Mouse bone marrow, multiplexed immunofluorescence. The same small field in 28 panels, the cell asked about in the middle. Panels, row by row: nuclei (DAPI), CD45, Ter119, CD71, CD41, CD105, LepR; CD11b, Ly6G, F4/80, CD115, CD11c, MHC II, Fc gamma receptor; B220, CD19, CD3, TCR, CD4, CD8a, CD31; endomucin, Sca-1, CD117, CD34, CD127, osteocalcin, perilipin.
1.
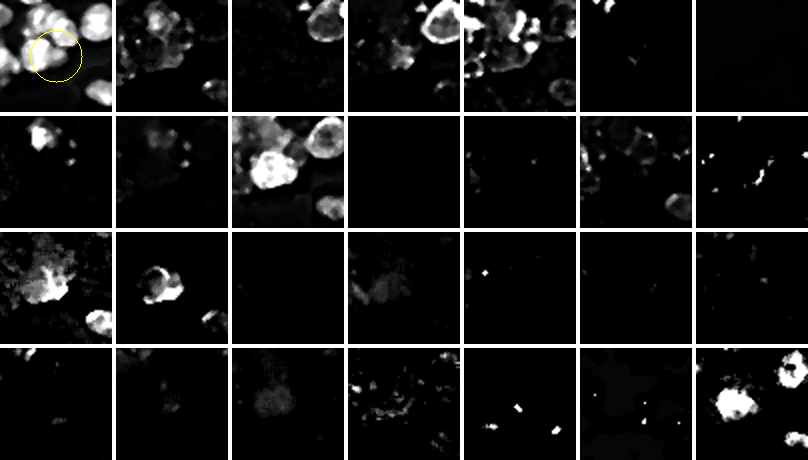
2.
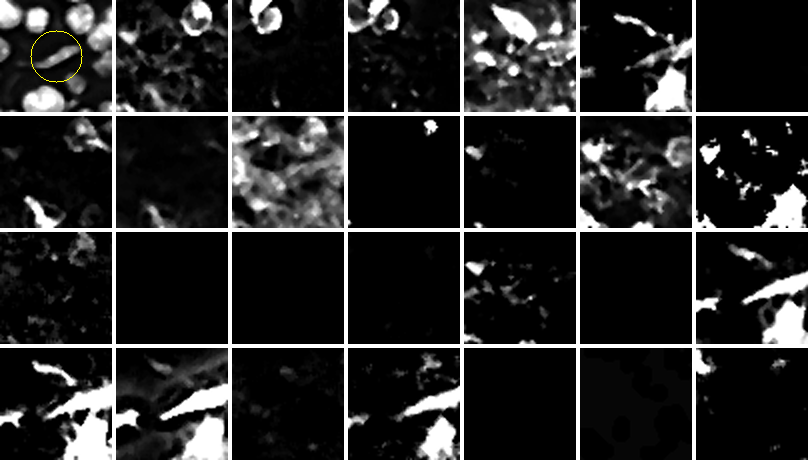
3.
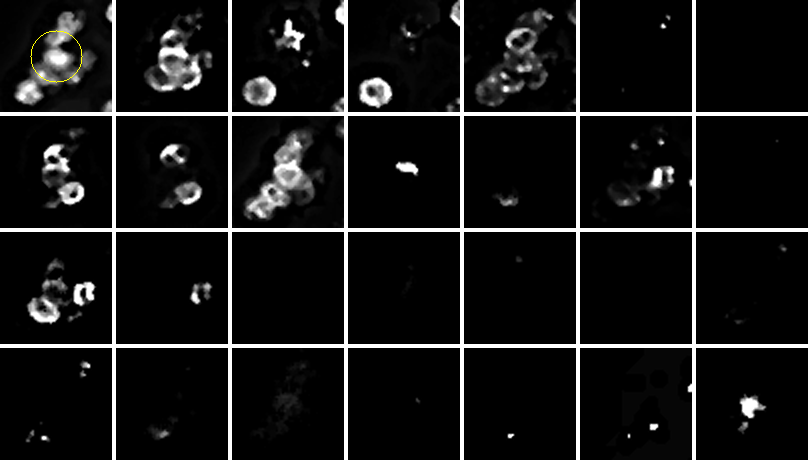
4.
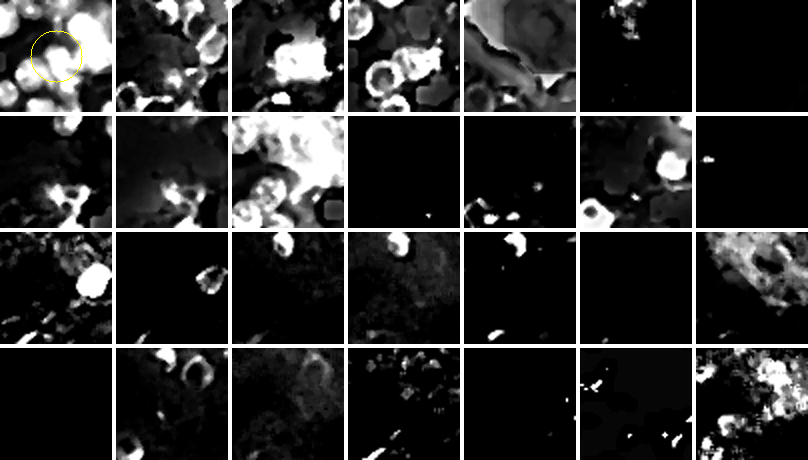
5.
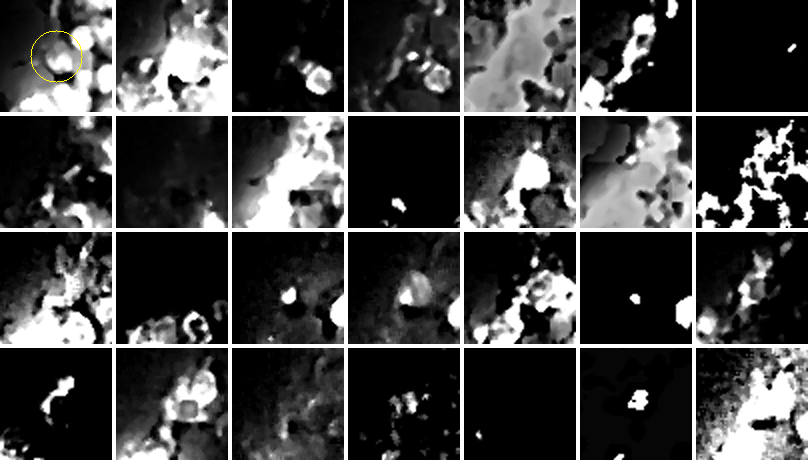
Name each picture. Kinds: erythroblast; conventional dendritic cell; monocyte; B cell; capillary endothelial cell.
1: B cell
2: capillary endothelial cell
3: monocyte
4: erythroblast
5: conventional dendritic cell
